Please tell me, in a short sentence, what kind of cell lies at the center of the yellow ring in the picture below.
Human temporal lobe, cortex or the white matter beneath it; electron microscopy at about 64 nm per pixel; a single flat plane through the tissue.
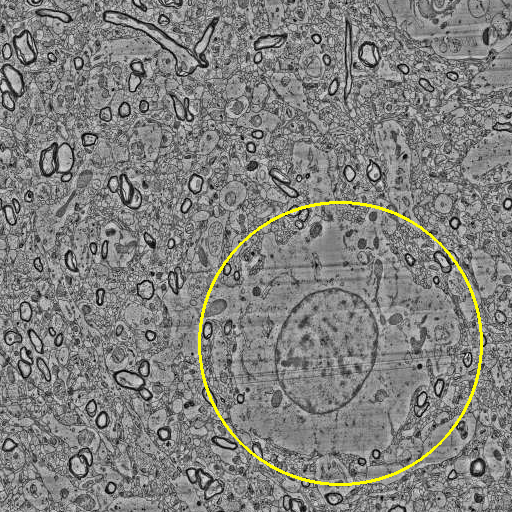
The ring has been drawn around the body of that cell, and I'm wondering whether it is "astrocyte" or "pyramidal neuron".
The cell at the center of the ring is an astrocyte.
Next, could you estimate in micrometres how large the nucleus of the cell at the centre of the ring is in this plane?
The nucleus has a long axis of about 8 micrometres and a short axis of about 6 micrometres in this plane.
